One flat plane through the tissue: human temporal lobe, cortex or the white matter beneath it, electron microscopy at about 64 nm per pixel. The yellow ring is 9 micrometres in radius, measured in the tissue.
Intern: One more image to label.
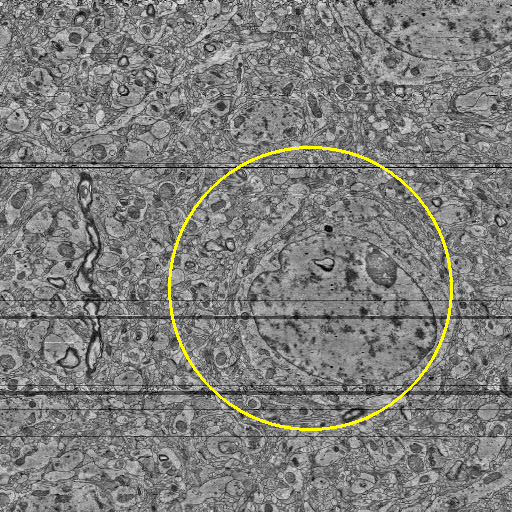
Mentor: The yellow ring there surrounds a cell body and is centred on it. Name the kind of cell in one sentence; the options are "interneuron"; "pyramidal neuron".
The ring marks the cell body of a pyramidal neuron.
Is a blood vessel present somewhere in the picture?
No, no vessel shows anywhere in the image.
